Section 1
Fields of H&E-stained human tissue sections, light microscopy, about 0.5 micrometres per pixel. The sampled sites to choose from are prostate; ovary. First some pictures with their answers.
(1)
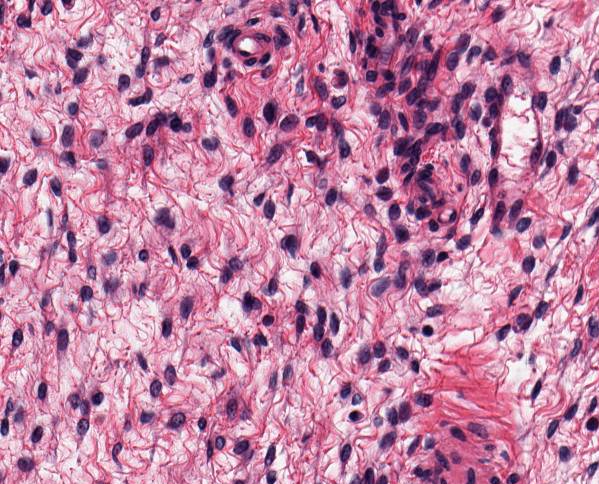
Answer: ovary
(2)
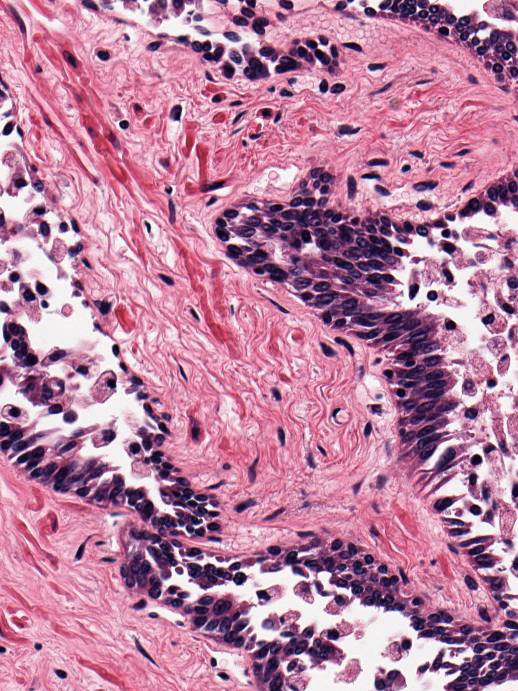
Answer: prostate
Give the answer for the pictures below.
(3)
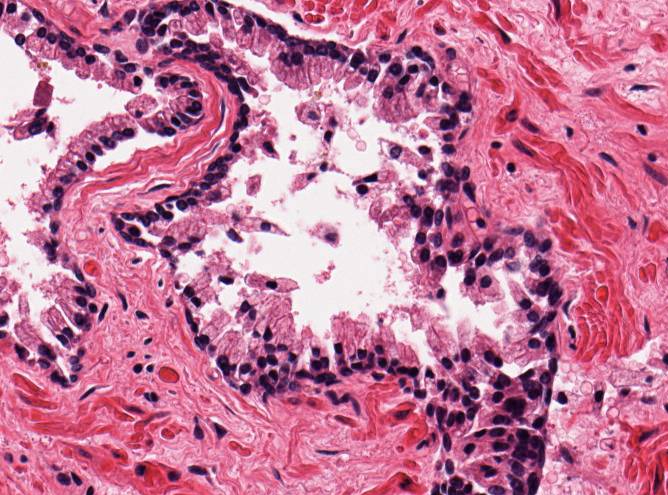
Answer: prostate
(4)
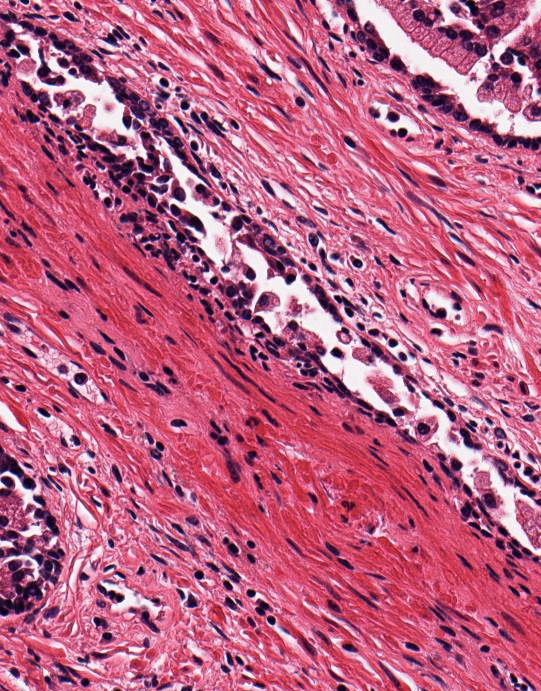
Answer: prostate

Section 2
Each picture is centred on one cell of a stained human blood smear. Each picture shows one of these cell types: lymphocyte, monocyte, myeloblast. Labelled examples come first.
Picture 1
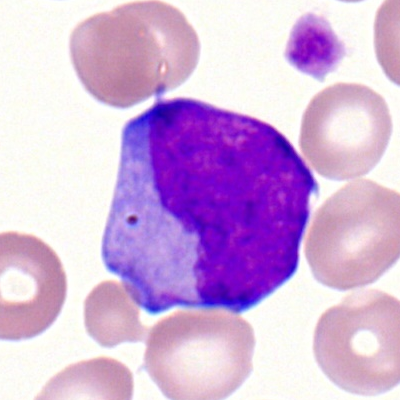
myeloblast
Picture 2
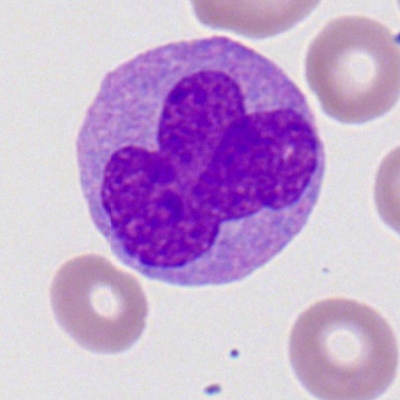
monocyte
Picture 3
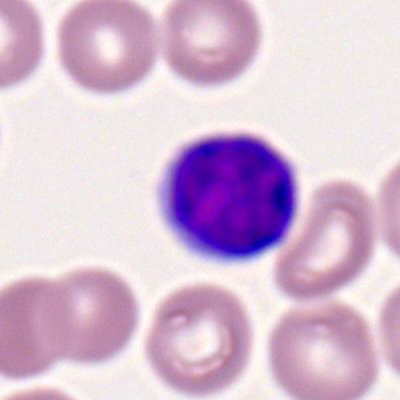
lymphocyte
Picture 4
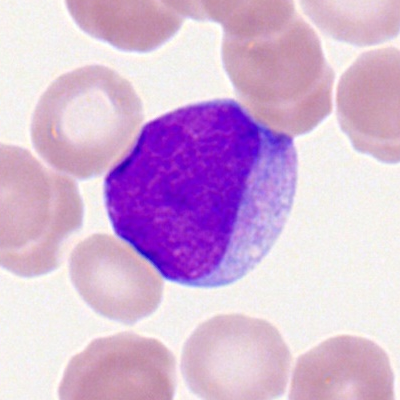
myeloblast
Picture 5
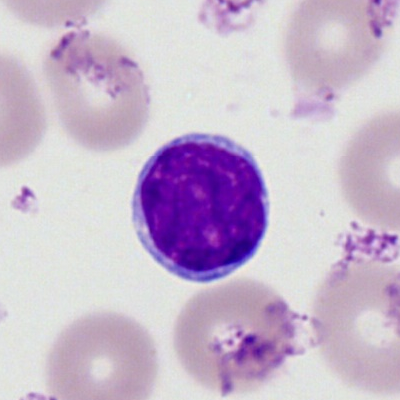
lymphocyte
